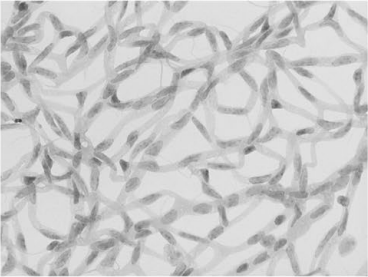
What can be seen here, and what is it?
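Along the tubes sit darkly stained nuclei: some are long and lie flat within the vessel wall, while others are rounder and stand out from the outer surface of the capillaries. The network is dense, with many crossing and looping segments.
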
